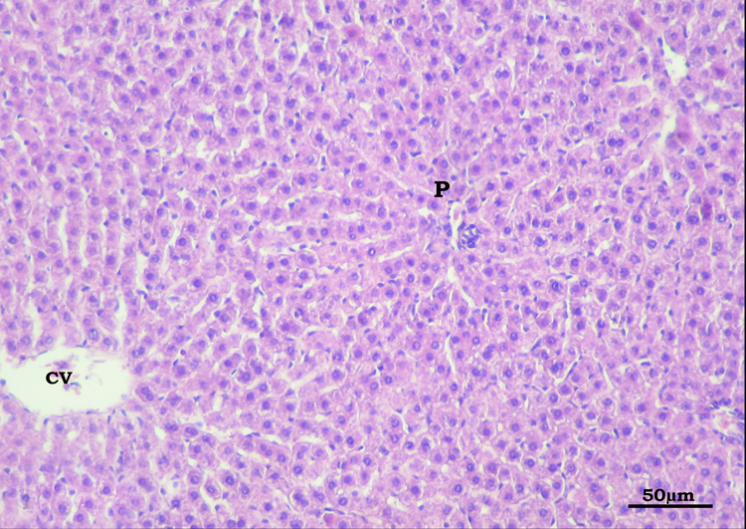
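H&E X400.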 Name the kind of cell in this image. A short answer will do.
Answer: Hepatocytes.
